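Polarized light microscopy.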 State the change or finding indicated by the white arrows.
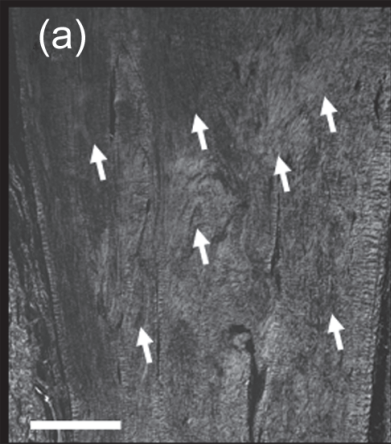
regions of decreased collagen organization/alignment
